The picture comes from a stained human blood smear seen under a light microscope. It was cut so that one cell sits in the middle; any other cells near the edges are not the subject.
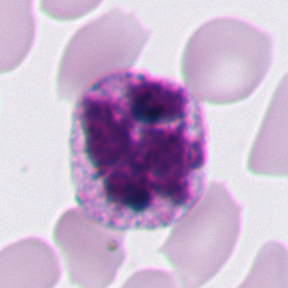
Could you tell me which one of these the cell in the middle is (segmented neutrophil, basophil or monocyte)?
basophil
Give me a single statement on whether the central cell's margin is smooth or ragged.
The border of this cell runs smooth and free of any projections.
